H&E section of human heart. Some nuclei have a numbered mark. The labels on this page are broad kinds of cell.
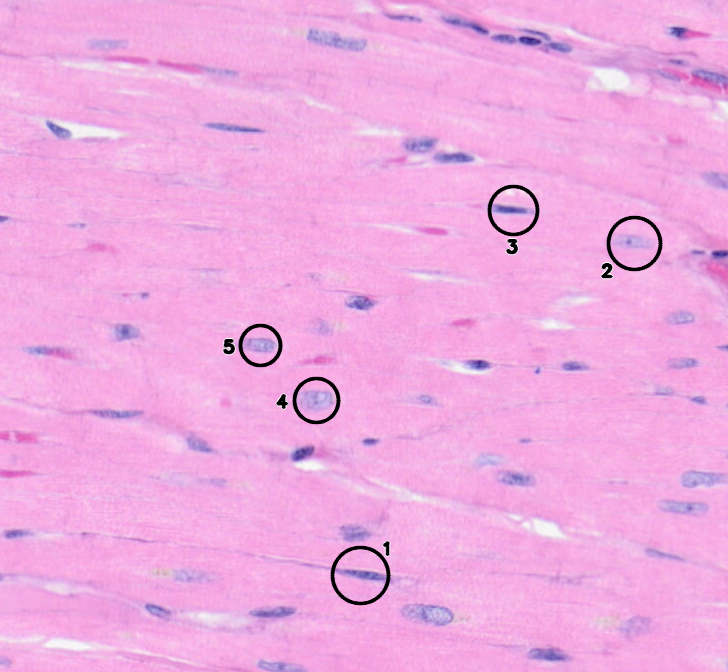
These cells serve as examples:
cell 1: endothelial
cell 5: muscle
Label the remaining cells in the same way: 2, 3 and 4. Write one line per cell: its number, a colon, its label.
2: muscle
3: endothelial
4: muscle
